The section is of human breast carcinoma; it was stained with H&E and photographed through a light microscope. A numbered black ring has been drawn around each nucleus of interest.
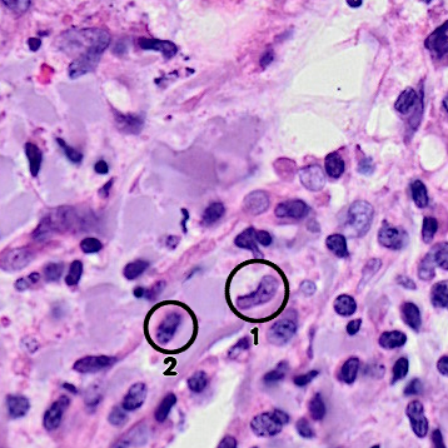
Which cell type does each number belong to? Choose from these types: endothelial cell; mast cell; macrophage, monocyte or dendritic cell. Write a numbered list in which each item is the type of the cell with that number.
1. macrophage, monocyte or dendritic cell
2. mast cell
